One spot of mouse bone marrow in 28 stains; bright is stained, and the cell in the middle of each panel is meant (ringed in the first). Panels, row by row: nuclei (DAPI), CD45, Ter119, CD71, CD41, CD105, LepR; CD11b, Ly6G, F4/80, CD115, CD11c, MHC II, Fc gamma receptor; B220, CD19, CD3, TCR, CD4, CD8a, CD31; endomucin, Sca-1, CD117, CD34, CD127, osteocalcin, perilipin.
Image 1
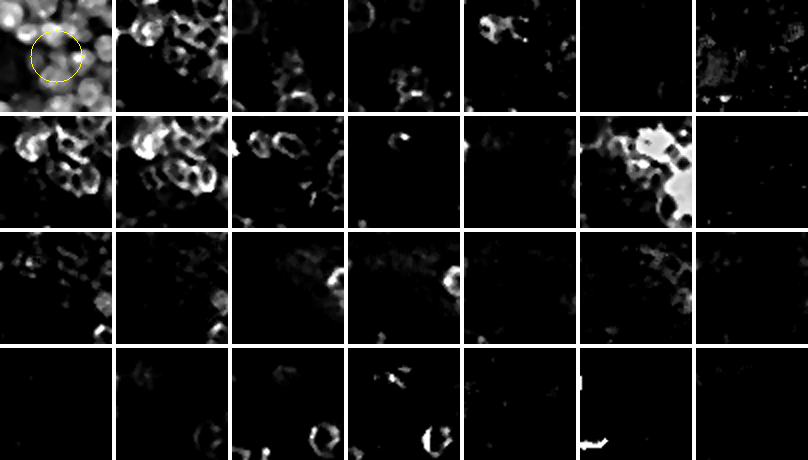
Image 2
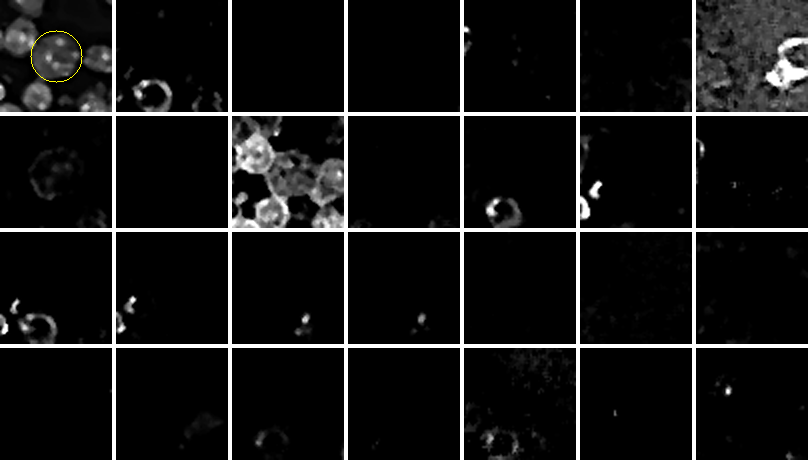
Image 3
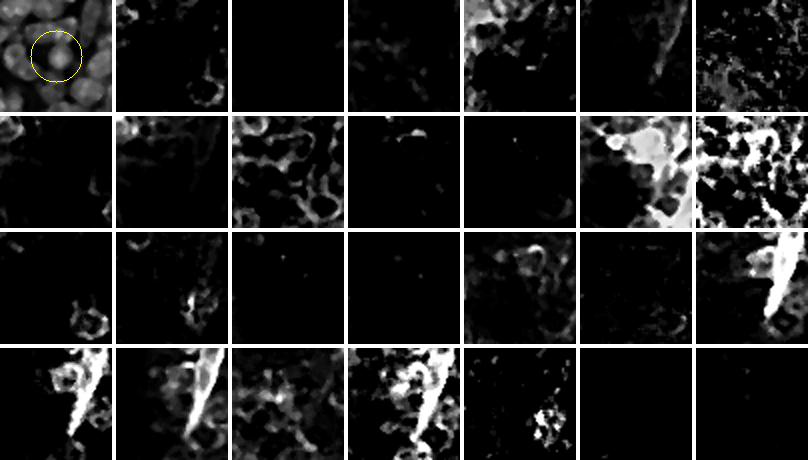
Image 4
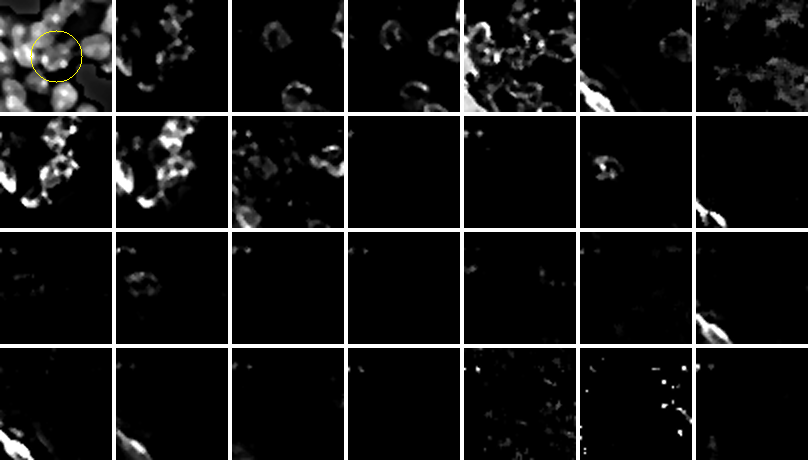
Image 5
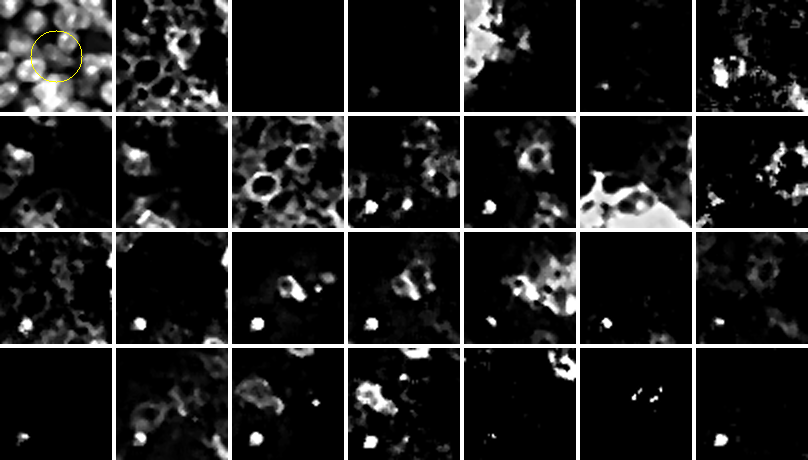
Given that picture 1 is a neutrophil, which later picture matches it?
4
